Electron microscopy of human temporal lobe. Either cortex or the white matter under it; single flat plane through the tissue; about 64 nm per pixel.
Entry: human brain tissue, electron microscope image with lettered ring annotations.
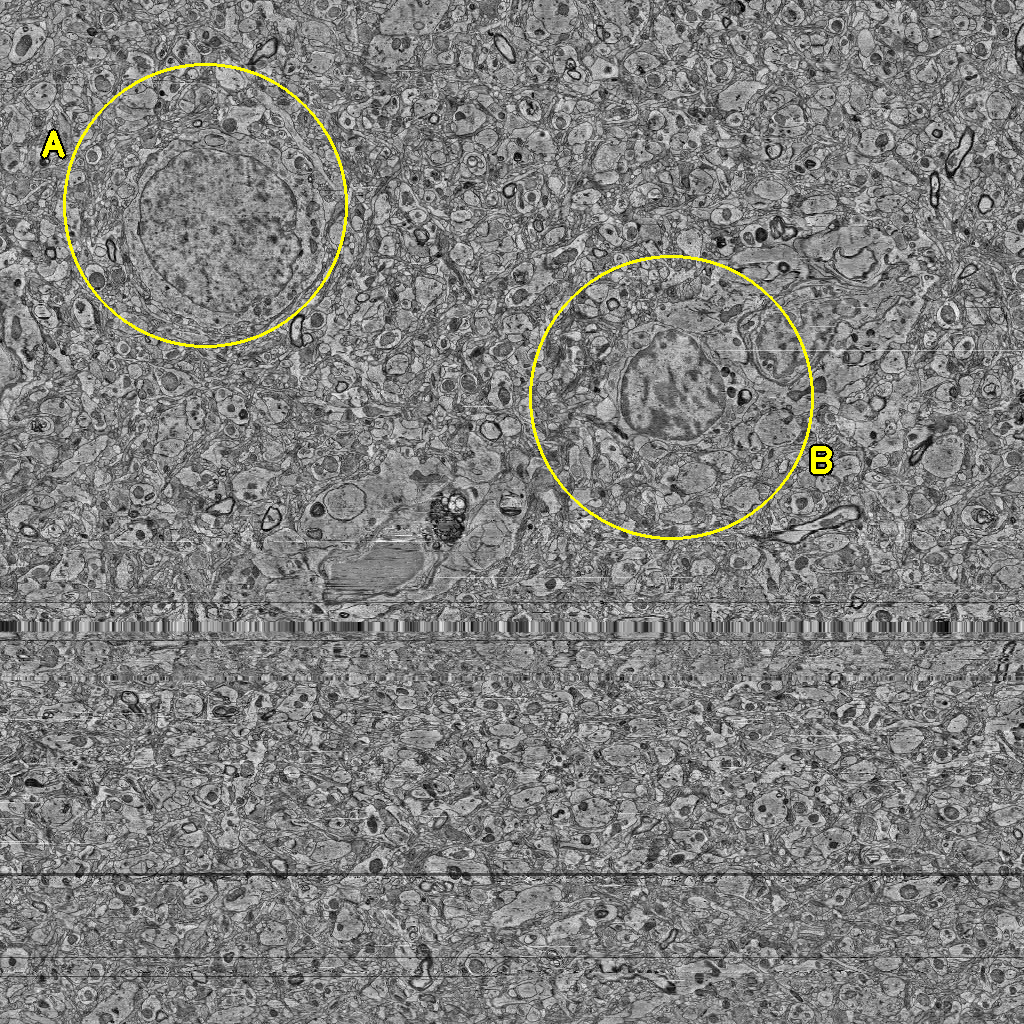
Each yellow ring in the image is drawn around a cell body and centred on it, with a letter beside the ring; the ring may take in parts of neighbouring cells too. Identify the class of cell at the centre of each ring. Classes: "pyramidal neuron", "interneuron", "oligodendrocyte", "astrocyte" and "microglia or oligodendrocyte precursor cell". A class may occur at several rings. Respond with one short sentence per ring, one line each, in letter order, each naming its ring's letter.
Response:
Ring A holds an interneuron at its centre.
Ring B holds a microglial cell or oligodendrocyte precursor cell at its centre.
